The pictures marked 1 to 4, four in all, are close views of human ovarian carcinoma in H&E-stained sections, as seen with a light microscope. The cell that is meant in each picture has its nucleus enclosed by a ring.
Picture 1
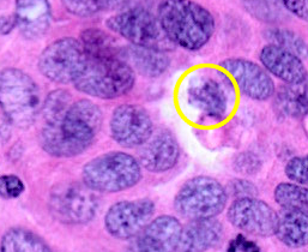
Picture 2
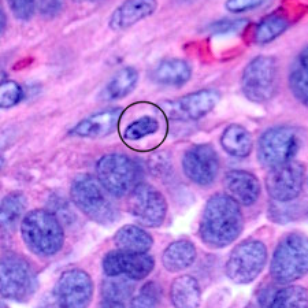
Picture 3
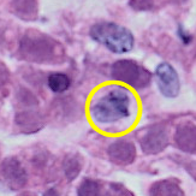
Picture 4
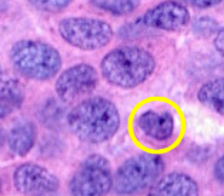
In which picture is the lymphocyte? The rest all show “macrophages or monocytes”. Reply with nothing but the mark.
2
